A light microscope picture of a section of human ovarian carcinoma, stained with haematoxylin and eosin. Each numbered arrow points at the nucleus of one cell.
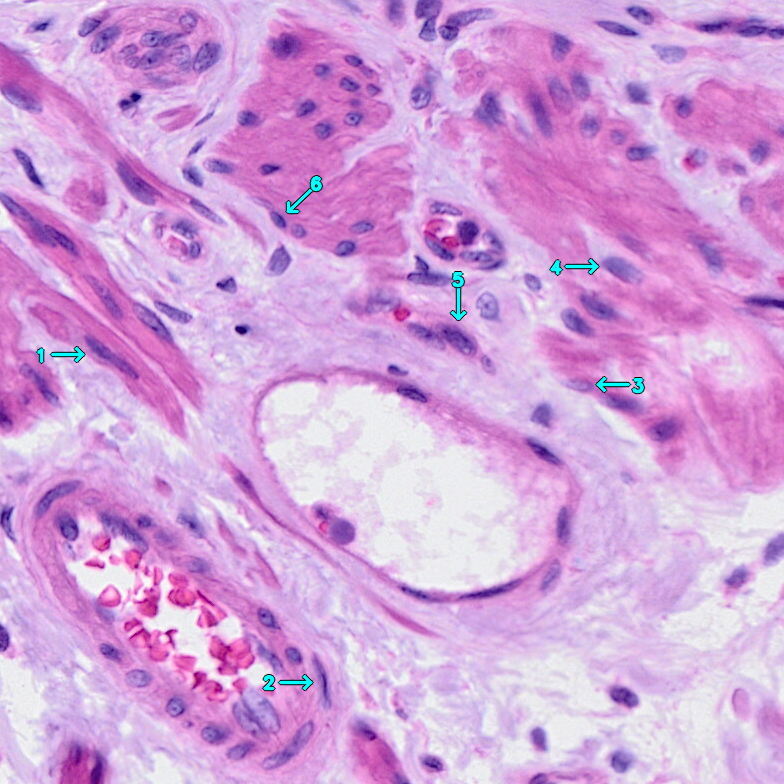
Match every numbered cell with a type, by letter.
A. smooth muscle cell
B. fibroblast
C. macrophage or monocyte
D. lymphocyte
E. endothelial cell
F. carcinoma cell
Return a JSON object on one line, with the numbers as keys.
{"1": "A", "2": "B", "3": "A", "4": "A", "5": "E", "6": "A"}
